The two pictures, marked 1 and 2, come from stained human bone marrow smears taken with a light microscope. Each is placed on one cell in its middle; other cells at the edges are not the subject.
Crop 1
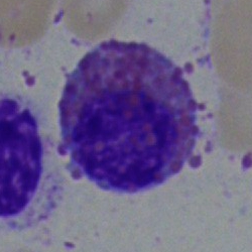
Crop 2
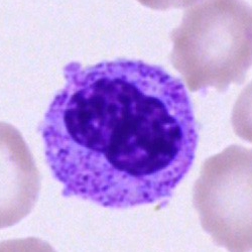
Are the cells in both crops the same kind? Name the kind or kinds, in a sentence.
No, it is crop 1 that shows an eosinophil, and crop 2 that shows a metamyelocyte.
